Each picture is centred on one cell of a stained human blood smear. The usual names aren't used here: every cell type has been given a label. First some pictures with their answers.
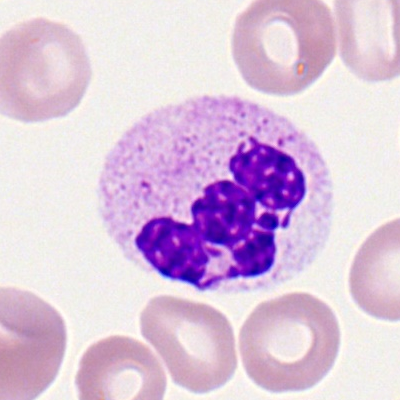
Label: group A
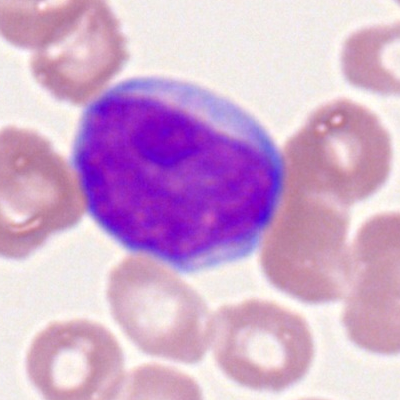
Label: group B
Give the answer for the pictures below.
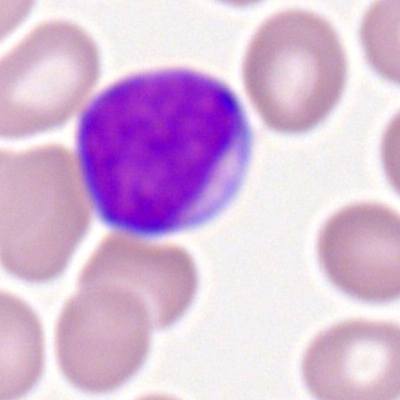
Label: group B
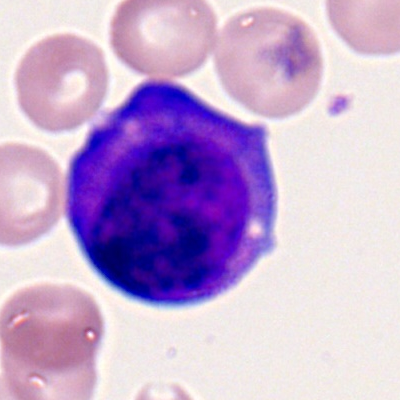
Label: group B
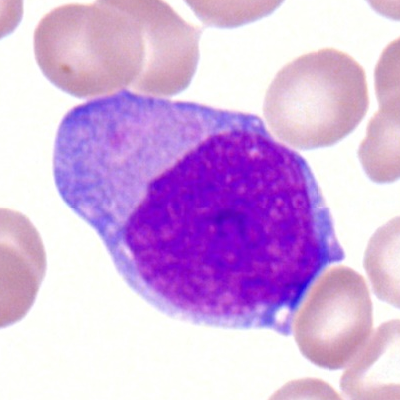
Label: group B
